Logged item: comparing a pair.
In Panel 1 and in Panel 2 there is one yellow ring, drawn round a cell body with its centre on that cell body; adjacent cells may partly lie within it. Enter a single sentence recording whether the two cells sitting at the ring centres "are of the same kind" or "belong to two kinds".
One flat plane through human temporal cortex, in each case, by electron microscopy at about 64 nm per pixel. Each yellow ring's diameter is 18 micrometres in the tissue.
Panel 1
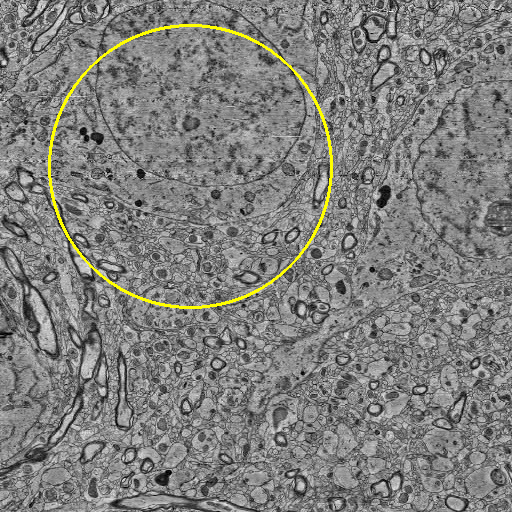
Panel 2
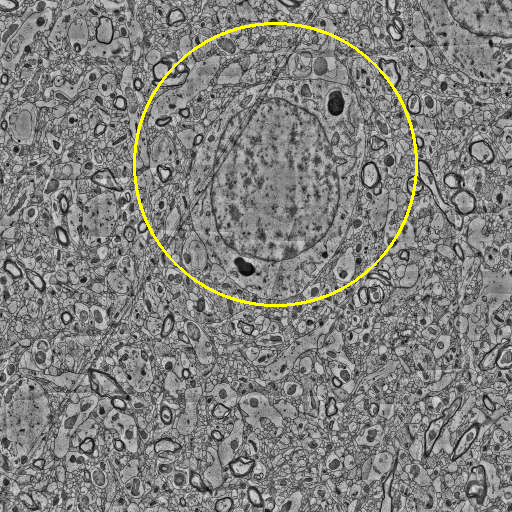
Logged: the cells centred in the rings of Panel 1 and Panel 2 are of the same kind.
